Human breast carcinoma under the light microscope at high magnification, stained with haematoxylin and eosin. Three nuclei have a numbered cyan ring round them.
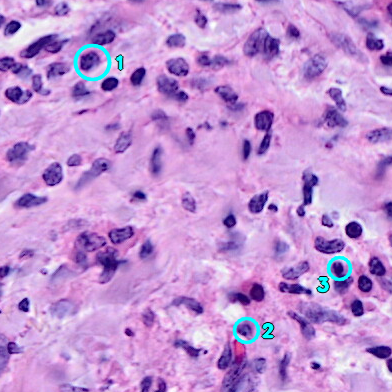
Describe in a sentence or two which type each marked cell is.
Cell 1 is a lymphocyte, cell 2 is an endothelial cell and cell 3 is a lymphocyte.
